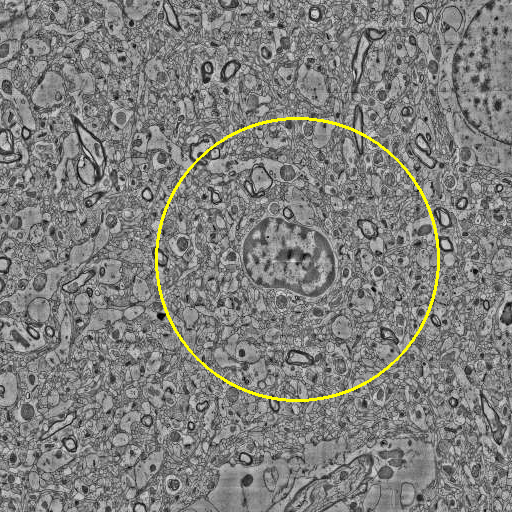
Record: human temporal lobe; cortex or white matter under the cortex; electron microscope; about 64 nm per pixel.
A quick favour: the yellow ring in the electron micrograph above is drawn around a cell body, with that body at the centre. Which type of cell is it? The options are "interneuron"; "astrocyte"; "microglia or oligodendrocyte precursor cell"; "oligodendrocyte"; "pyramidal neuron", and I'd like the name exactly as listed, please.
microglia or oligodendrocyte precursor cell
